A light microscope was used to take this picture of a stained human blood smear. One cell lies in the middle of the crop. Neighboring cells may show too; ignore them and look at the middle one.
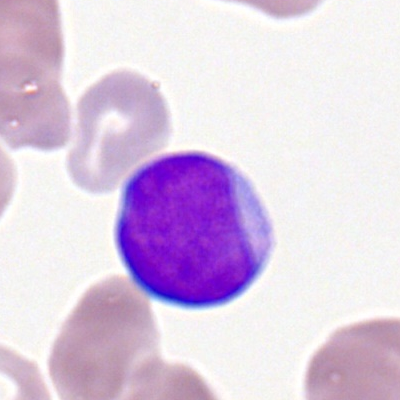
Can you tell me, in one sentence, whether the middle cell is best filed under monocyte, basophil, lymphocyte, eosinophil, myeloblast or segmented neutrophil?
The cell nearest the centre of this crop is a myeloblast.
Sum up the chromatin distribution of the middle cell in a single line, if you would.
There is no coarse clumping; the chromatin stays fine throughout.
